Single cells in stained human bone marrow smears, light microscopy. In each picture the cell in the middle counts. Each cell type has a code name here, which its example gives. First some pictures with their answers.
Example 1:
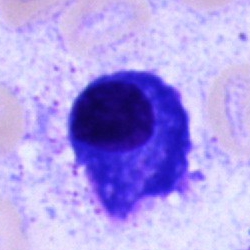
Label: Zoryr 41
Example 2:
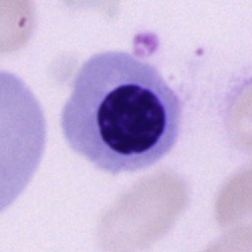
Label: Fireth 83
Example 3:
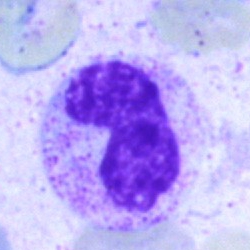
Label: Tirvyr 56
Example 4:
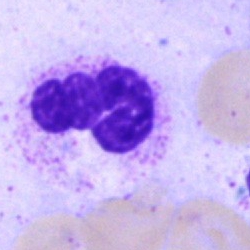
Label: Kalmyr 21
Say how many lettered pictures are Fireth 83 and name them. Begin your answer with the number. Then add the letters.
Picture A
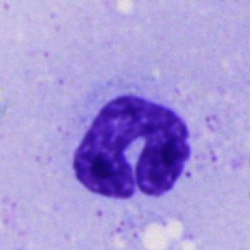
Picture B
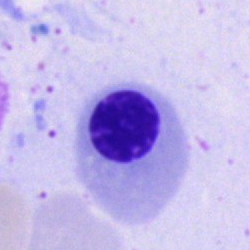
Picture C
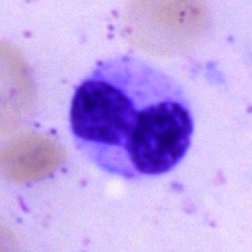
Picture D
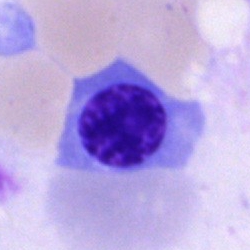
2: B, D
